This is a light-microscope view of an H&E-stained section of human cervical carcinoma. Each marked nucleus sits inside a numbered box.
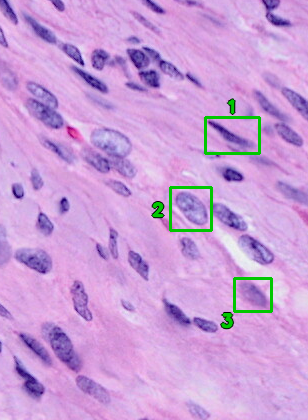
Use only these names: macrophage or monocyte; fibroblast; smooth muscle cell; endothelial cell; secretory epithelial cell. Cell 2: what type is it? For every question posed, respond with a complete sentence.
The cell carrying label 2 is identified as an endothelial cell.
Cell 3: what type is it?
Heads up, the cell numbered 3 is an endothelial cell.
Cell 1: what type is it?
In this section, the cell tagged 1 is a fibroblast.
